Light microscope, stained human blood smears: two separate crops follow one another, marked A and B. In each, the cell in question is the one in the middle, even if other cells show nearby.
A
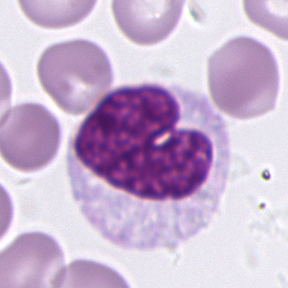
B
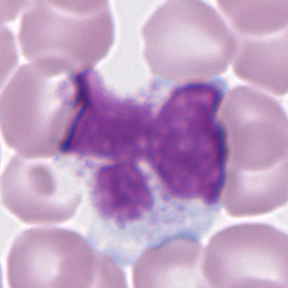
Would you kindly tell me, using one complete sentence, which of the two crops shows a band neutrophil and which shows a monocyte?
Found in crop A is a band neutrophil; found in crop B is a monocyte.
